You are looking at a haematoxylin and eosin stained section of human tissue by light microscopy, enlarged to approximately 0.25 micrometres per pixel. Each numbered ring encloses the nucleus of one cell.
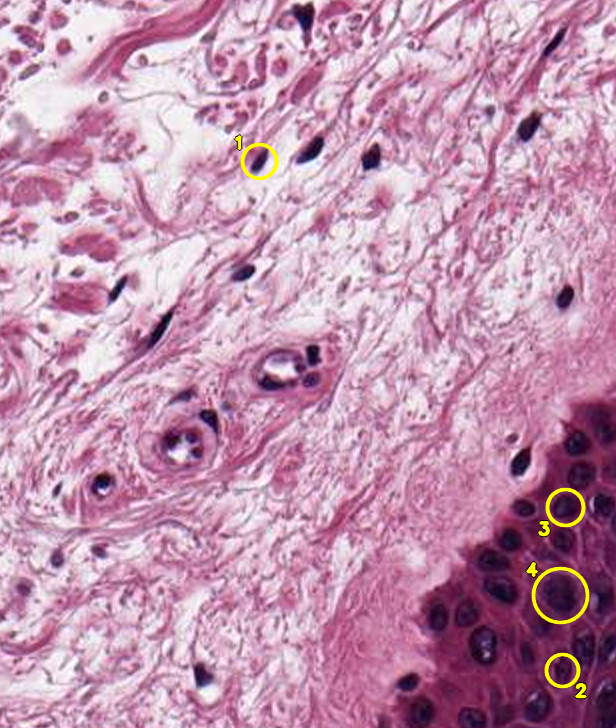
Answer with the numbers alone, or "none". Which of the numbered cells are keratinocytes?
2, 3, 4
